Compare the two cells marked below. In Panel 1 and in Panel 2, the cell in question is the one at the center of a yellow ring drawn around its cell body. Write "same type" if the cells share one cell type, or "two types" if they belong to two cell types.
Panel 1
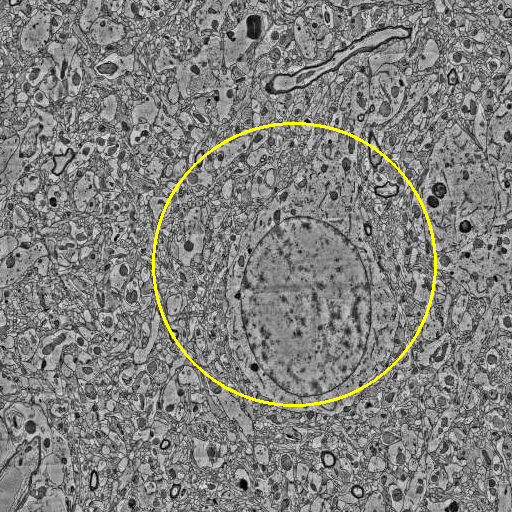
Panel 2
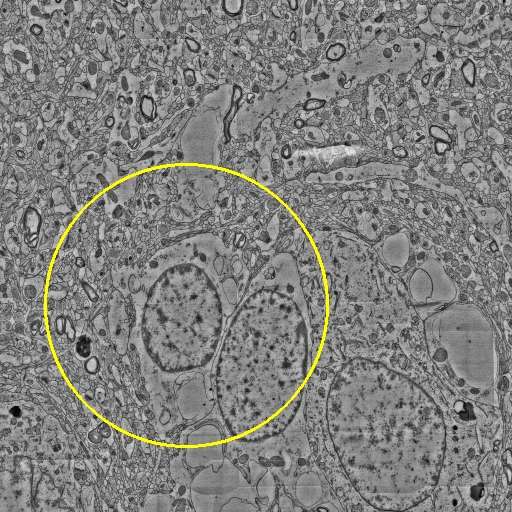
two types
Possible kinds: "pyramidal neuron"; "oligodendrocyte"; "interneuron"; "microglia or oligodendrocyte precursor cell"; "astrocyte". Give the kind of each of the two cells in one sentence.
The cell in the second picture is an astrocyte, and that in the first is a pyramidal neuron.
